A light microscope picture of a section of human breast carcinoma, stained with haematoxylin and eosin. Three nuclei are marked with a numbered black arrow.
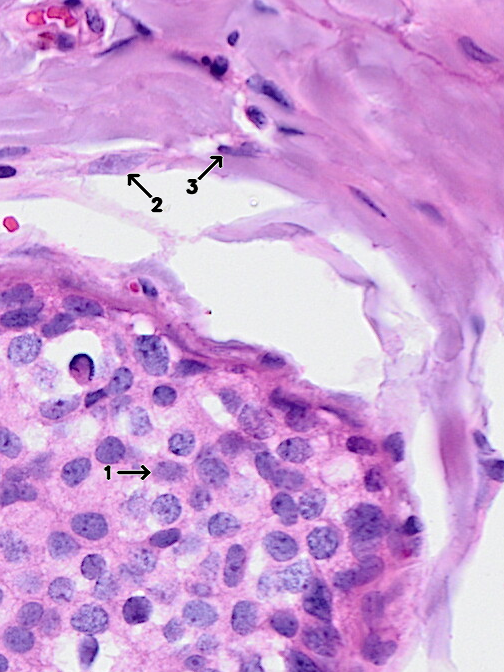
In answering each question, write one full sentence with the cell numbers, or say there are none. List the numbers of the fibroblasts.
Cells 2 and 3 are of one type, namely fibroblasts.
